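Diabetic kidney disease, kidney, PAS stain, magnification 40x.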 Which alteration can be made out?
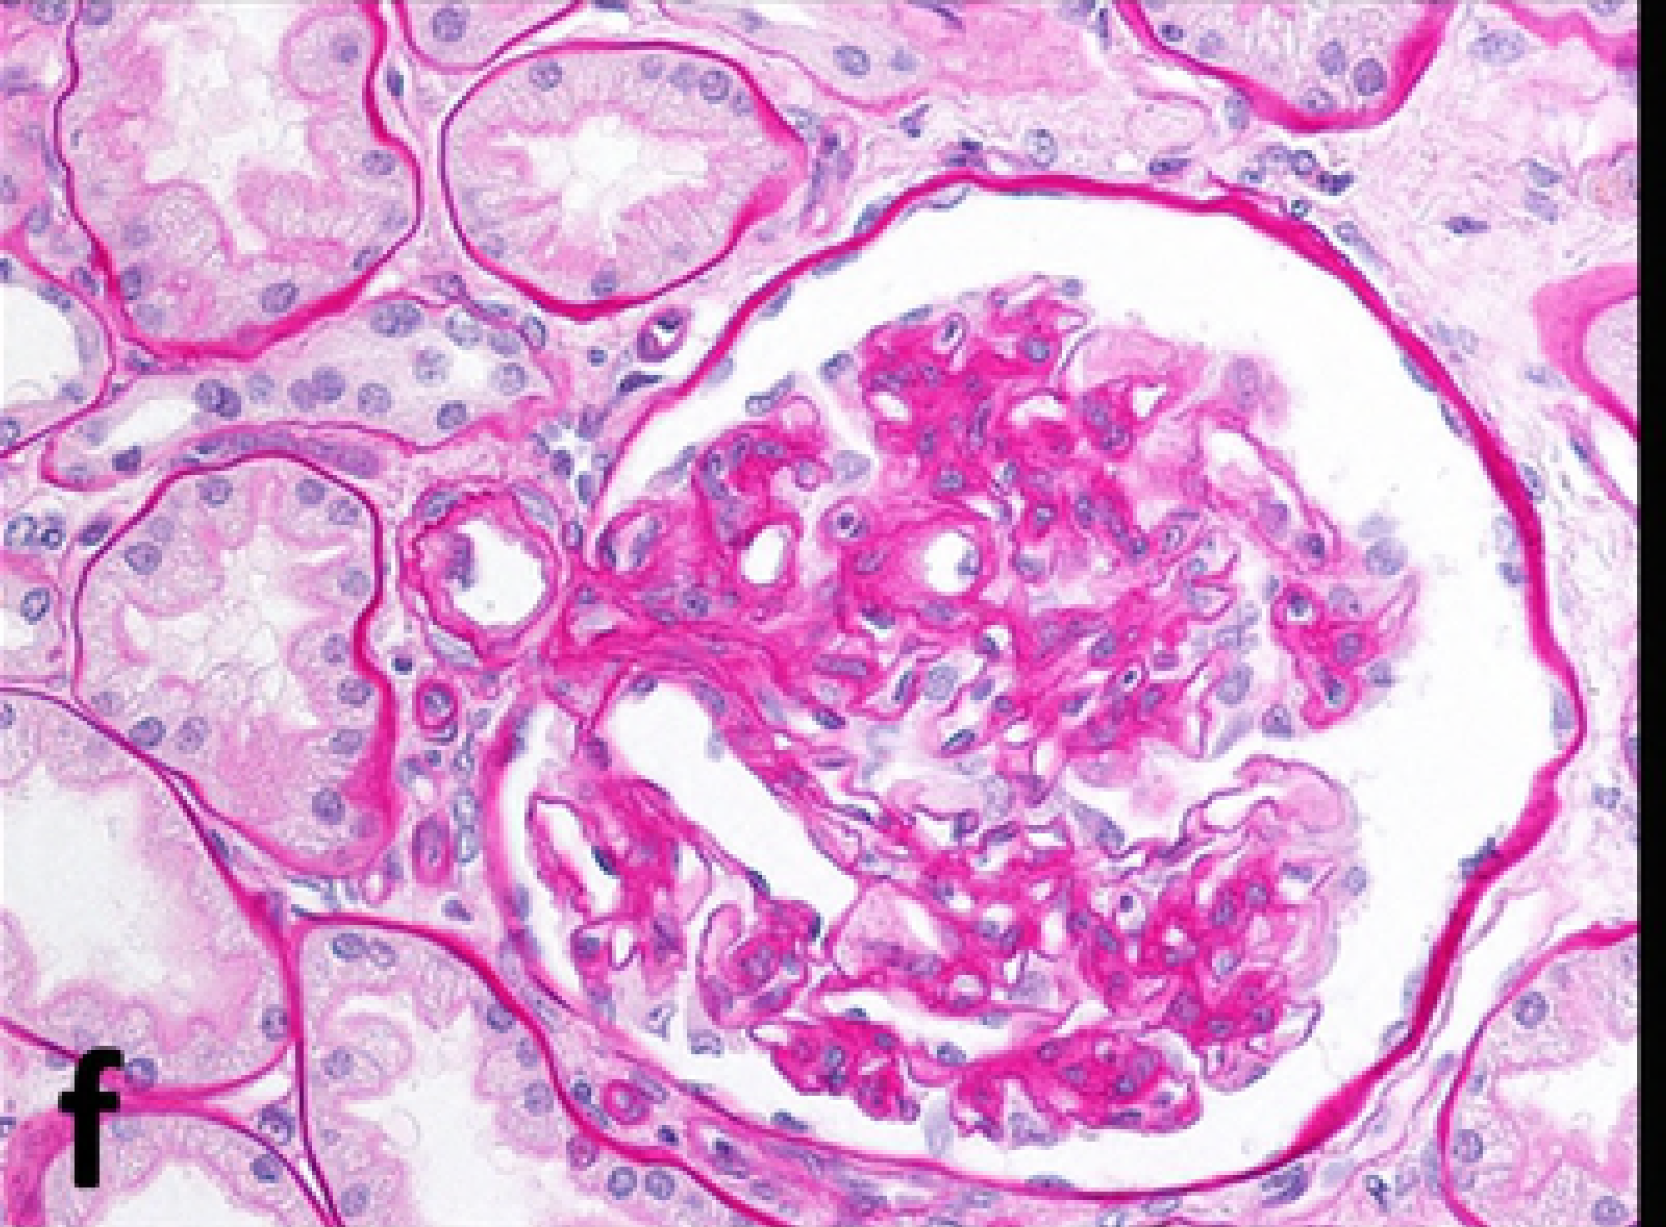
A: Expansion of the glomerular mesangium.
